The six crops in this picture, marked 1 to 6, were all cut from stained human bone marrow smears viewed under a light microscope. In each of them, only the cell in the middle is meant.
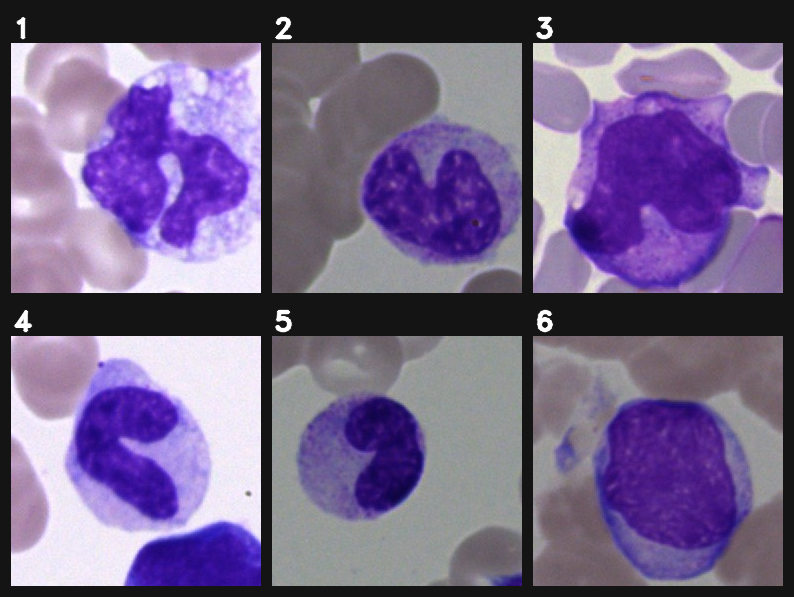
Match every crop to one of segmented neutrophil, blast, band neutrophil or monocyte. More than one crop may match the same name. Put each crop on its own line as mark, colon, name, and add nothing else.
1: monocyte
2: band neutrophil
3: monocyte
4: band neutrophil
5: band neutrophil
6: blast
